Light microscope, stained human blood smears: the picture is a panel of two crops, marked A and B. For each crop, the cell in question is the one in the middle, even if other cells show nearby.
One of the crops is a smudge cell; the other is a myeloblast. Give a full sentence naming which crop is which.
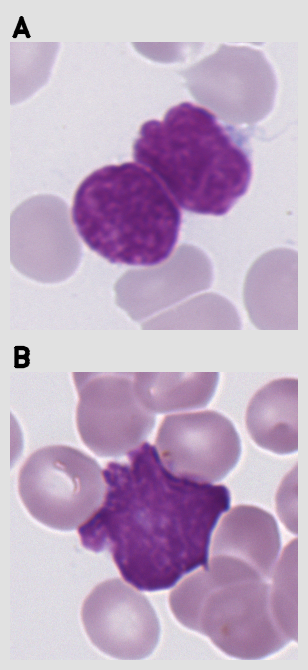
Here crop A is a myeloblast, and crop B is a smudge cell.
